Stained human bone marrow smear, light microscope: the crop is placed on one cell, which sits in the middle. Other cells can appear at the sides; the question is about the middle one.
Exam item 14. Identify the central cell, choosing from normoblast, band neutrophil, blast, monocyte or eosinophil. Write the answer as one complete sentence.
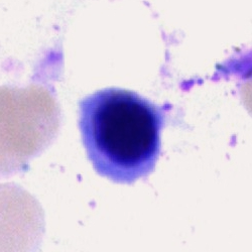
The crop's centre is taken up by a normoblast.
